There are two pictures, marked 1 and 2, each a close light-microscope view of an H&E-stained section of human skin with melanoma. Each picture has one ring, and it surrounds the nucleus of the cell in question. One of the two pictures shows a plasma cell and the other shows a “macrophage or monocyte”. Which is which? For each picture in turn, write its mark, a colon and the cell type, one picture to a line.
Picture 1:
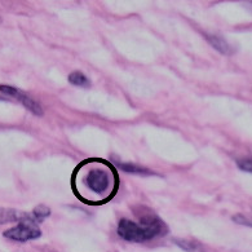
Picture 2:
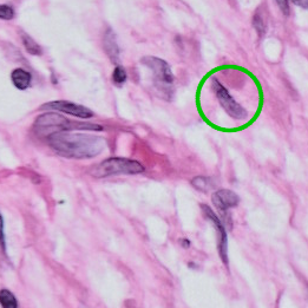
1: plasma cell
2: macrophage or monocyte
